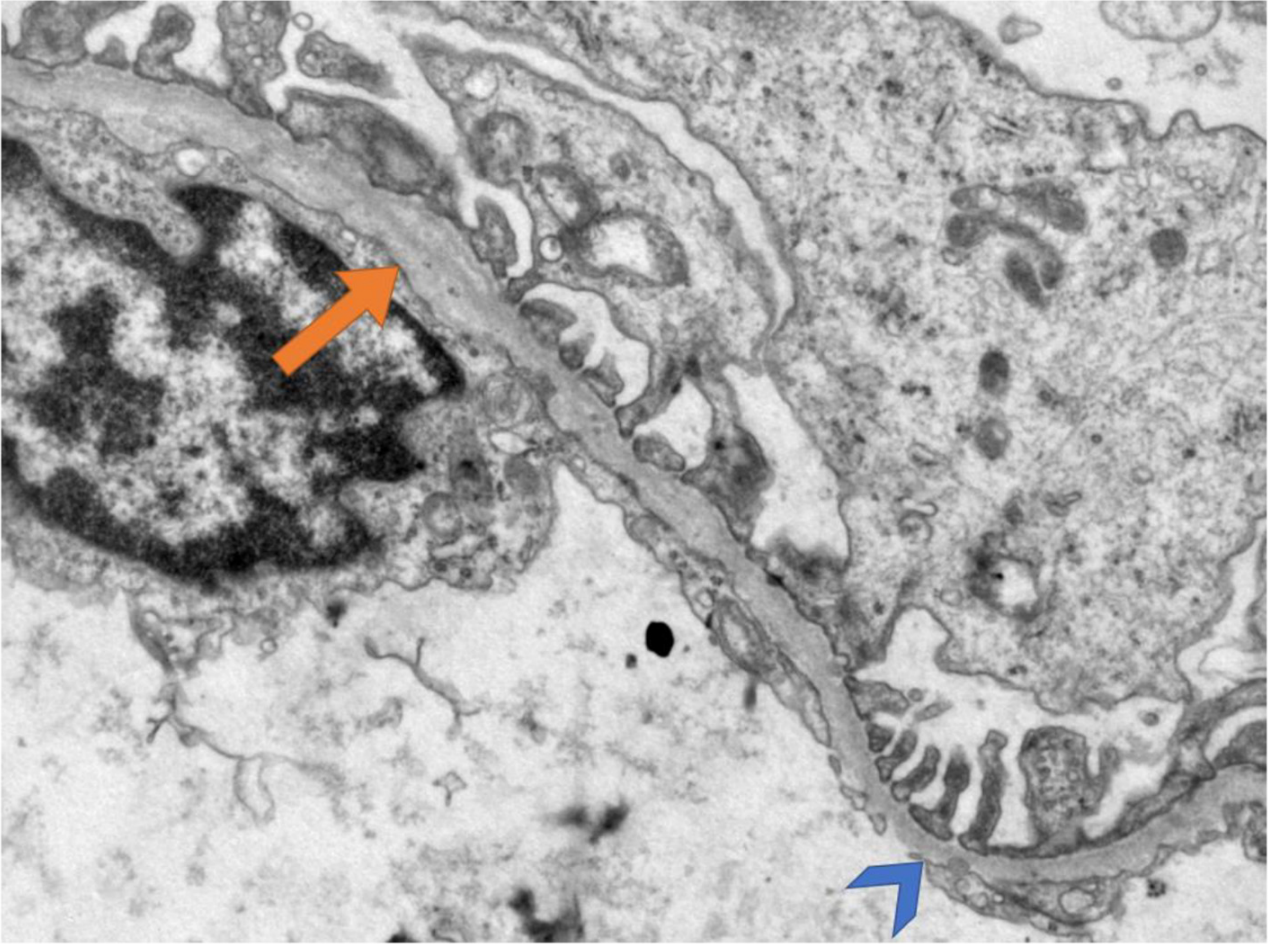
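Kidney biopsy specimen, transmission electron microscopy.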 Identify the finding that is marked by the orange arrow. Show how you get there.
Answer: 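The arrow points to a stretch of the grey membrane band that is irregular rather than smooth. At this stretch the band shows uneven, layered-looking density. On this evidence: focal lamellation.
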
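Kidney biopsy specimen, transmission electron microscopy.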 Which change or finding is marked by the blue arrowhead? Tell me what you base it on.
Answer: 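Thinning of glomerular basement membrane. The arrowhead points to a narrow, uniformly grey band running between two cell layers. Regularly spaced foot processes sit on one side of this band. The band is thin relative to the cells and processes lying on either side of it.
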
